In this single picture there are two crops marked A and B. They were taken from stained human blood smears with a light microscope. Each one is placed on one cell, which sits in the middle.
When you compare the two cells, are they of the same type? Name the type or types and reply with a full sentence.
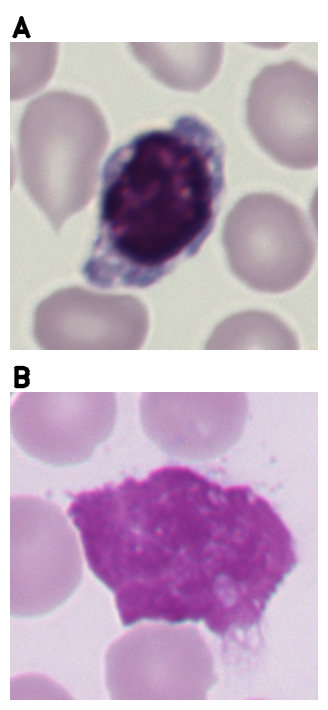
No, the cell that crop A shows is a typical lymphocyte, and the one crop B shows is a smudge cell.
